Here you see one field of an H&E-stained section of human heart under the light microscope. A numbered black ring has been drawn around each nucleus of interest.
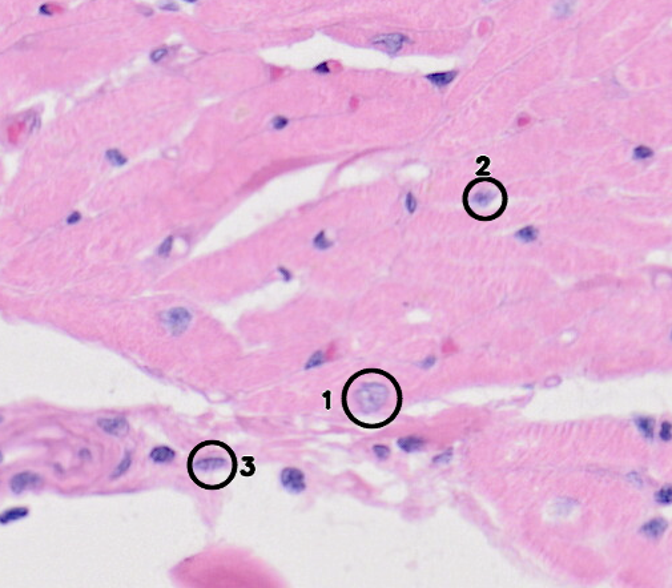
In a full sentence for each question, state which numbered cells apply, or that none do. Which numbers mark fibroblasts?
Only cell 3 is a fibroblast; none of the other numbered cells is.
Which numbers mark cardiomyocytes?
As for the numbered cells, only cell 1 is a cardiomyocyte.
